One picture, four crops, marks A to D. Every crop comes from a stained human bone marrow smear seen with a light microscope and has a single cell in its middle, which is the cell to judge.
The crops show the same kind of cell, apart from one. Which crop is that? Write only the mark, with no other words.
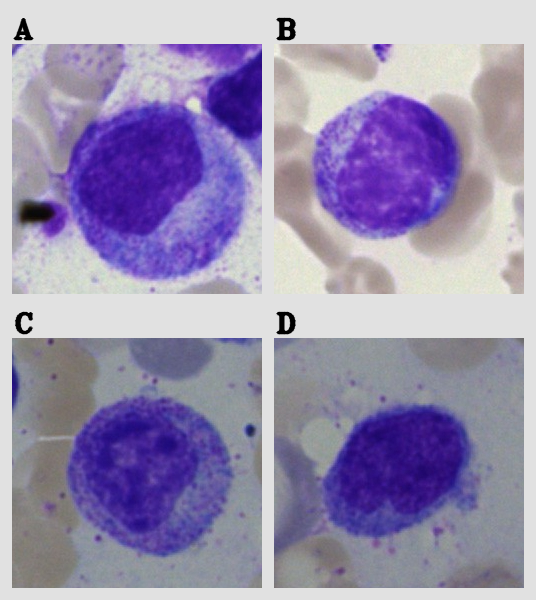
D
